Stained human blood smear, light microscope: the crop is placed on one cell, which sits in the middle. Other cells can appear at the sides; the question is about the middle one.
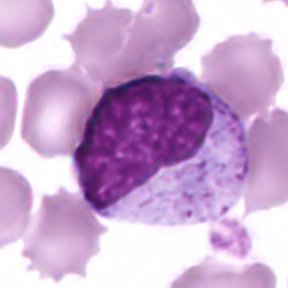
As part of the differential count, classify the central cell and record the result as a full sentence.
Positioned in the middle of the crop is a metamyelocyte.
